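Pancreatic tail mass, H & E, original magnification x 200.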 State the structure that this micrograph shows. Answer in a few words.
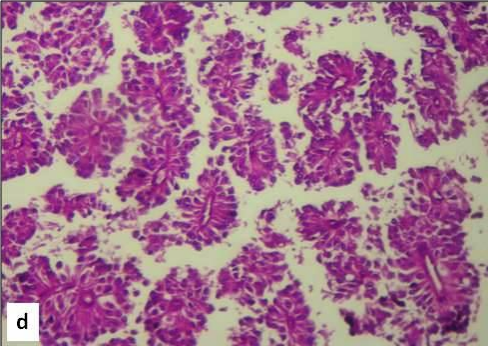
Pseudorosettes.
